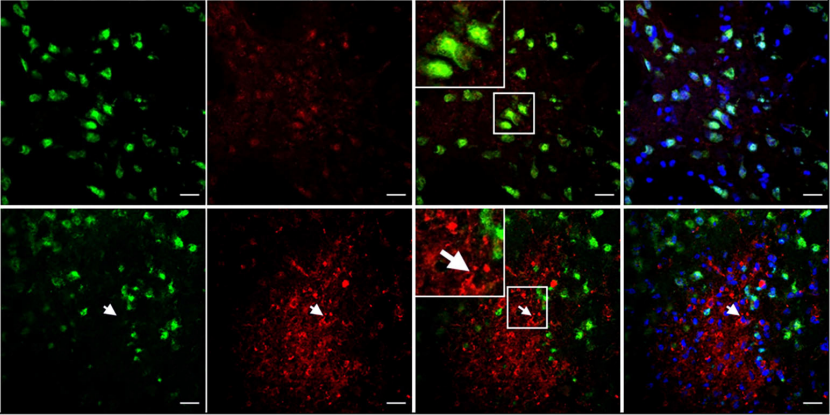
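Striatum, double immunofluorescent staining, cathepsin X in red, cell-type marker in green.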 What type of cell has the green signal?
Neurons.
